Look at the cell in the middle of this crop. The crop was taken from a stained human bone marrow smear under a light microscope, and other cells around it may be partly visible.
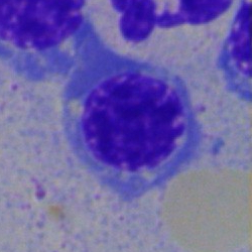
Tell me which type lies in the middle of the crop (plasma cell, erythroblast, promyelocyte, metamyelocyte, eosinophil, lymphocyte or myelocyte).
erythroblast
